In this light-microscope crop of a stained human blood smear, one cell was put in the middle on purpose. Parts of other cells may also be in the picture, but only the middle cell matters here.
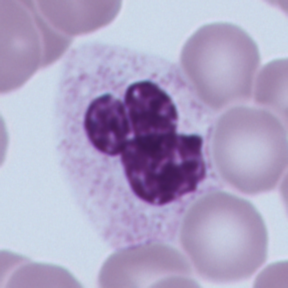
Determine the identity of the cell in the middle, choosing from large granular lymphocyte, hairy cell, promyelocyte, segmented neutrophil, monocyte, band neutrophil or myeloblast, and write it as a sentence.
Here the centrally located cell is a segmented neutrophil.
